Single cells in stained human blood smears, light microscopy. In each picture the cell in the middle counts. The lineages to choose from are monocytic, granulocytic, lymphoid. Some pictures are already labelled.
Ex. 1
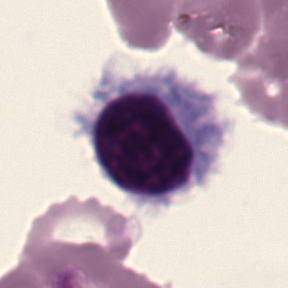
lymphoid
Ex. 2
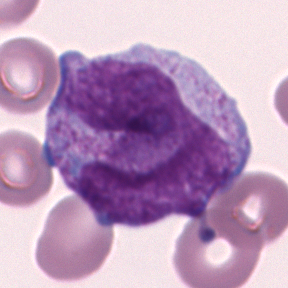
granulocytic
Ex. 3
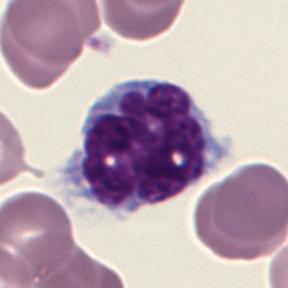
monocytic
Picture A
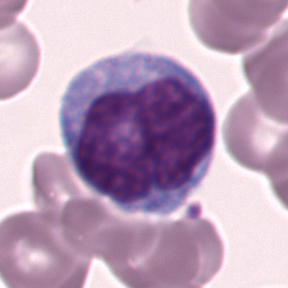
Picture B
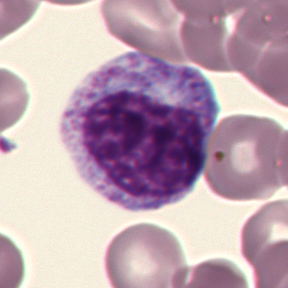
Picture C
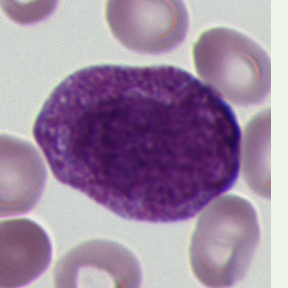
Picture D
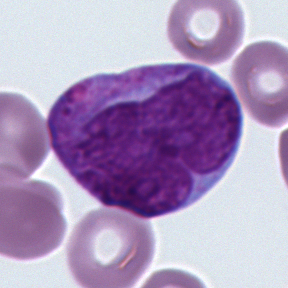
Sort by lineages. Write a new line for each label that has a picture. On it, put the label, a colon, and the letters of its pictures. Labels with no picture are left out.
monocytic: A
granulocytic: B, C, D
